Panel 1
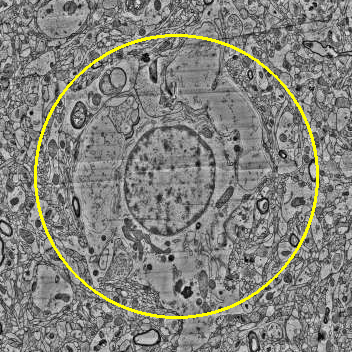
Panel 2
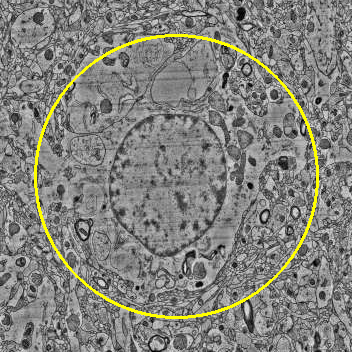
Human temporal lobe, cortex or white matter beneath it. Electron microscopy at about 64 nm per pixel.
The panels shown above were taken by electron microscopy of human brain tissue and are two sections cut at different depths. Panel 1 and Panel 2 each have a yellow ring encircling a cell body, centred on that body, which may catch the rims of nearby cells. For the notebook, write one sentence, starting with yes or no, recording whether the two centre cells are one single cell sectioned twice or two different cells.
Yes, a single cell is the subject of both yellow rings.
